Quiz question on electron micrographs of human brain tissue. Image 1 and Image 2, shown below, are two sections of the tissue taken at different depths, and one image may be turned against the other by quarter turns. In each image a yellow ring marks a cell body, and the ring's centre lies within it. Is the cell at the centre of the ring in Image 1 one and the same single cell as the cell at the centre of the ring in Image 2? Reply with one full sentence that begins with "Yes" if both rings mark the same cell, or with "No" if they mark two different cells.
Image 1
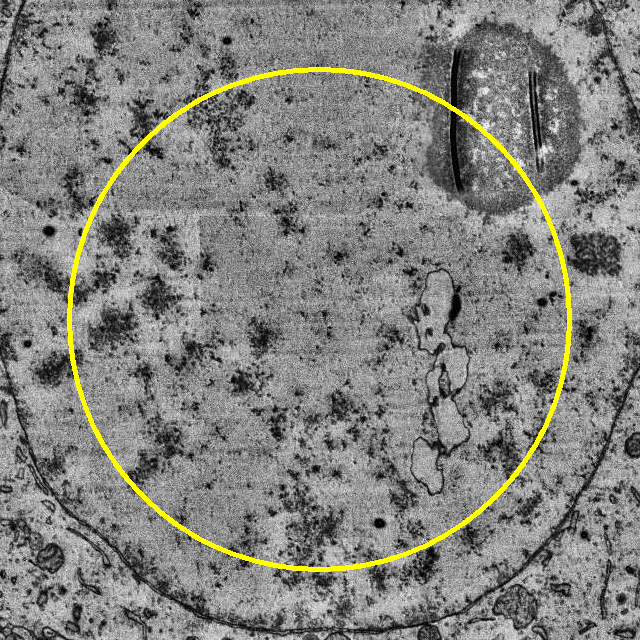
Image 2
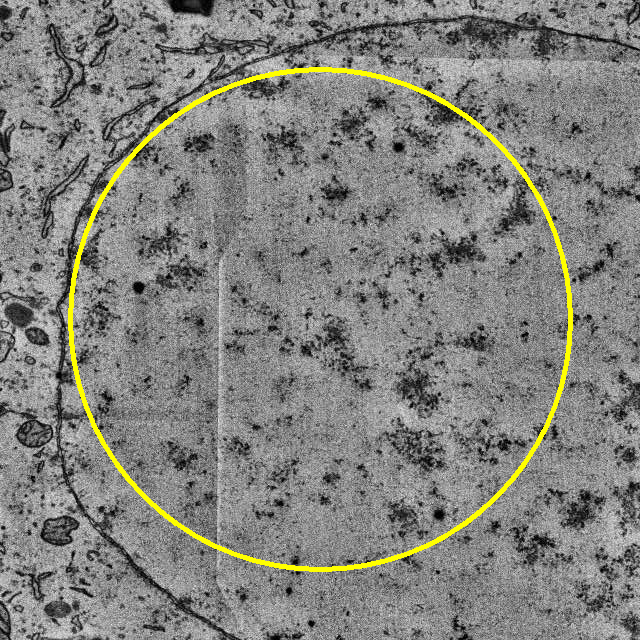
No, the pair of rings marks a pair of different cells.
